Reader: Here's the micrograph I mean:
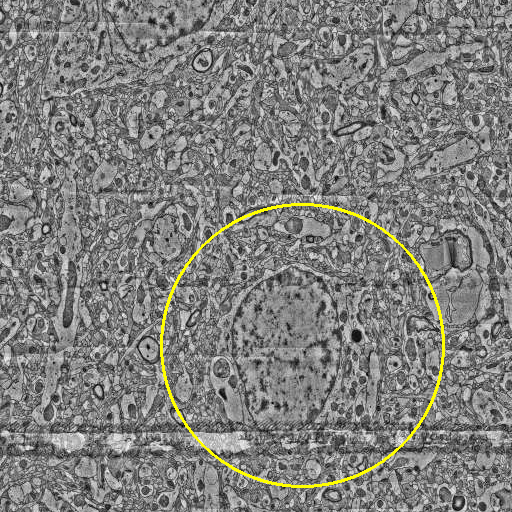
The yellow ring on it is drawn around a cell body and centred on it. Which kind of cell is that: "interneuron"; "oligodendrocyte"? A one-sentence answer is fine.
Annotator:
The ring is centred on an interneuron.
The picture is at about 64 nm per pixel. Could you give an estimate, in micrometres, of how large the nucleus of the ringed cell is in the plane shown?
The nucleus is approximately 11 micrometres long but only about 7 wide, clearly longer than it is wide in this plane.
